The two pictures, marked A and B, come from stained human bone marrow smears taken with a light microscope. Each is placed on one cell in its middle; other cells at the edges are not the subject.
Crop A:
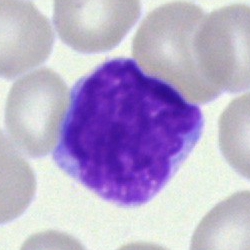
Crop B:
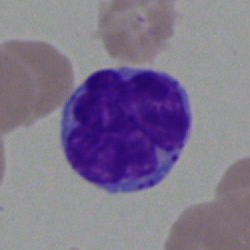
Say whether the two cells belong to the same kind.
no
